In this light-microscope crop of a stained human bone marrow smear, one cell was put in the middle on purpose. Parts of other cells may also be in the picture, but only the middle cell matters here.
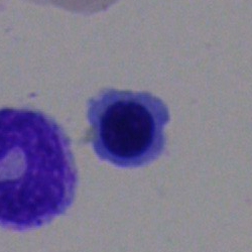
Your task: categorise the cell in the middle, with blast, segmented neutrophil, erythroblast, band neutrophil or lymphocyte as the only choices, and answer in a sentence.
In this crop, the cell at the very middle is an erythroblast.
